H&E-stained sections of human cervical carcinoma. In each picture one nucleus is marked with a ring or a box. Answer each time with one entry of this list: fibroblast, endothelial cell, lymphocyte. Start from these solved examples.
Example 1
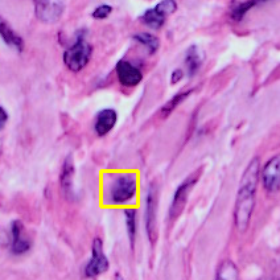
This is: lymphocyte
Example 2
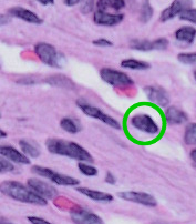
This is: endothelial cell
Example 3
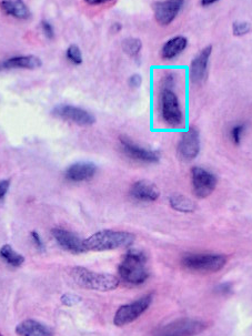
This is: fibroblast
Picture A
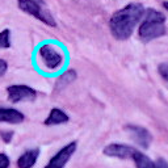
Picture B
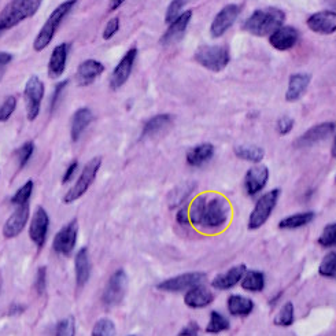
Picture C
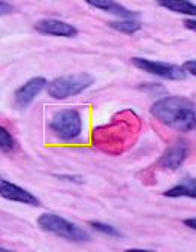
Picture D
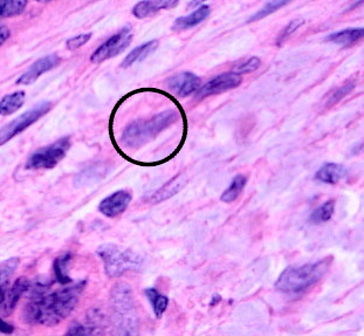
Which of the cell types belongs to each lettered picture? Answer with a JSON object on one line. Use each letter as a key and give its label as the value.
{"A": "fibroblast", "B": "endothelial cell", "C": "endothelial cell", "D": "endothelial cell"}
